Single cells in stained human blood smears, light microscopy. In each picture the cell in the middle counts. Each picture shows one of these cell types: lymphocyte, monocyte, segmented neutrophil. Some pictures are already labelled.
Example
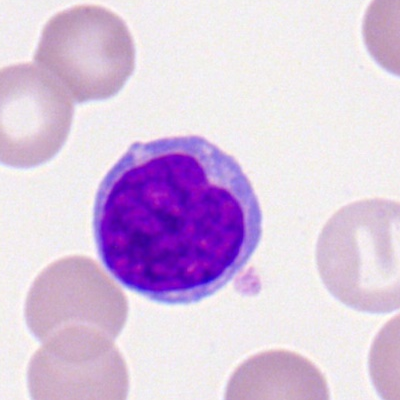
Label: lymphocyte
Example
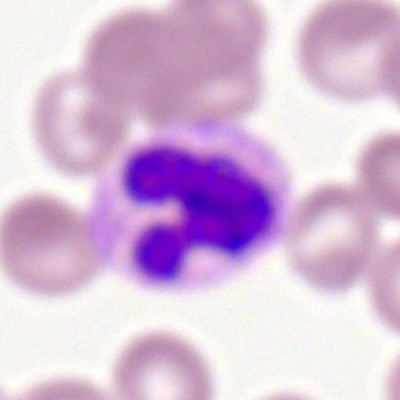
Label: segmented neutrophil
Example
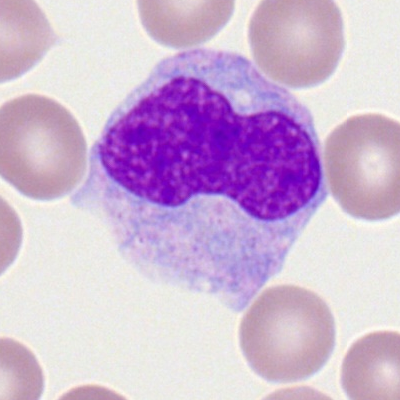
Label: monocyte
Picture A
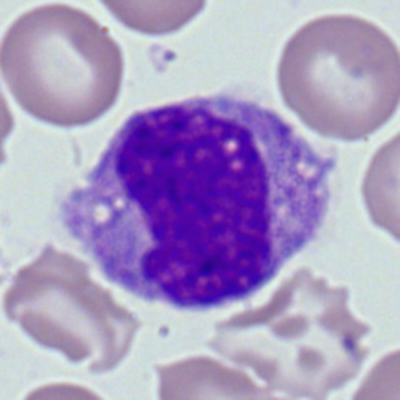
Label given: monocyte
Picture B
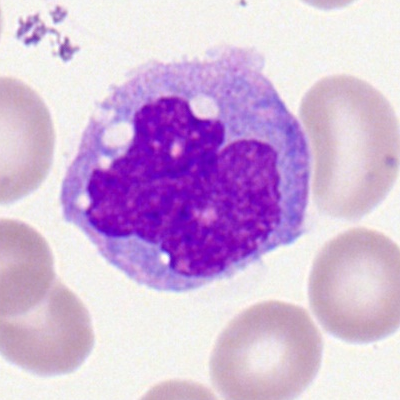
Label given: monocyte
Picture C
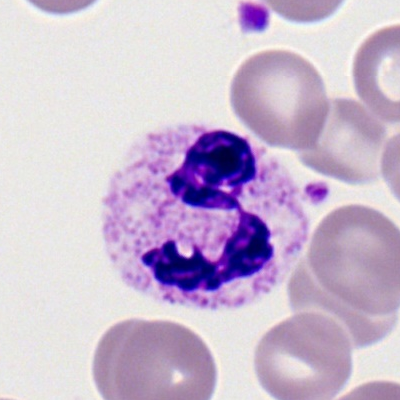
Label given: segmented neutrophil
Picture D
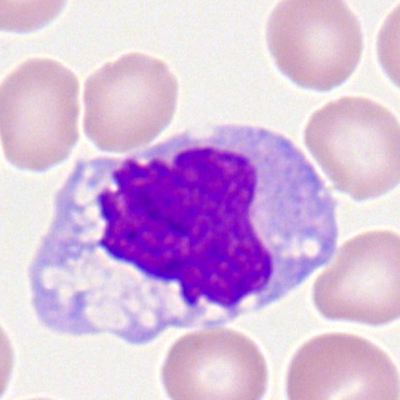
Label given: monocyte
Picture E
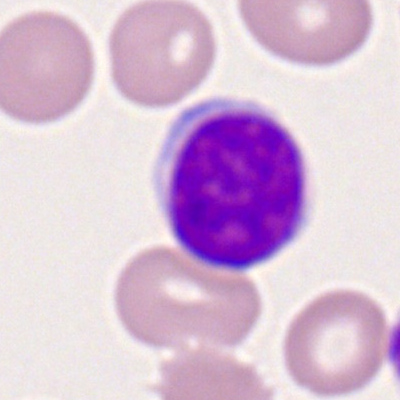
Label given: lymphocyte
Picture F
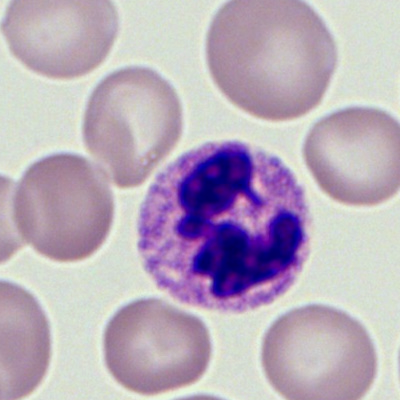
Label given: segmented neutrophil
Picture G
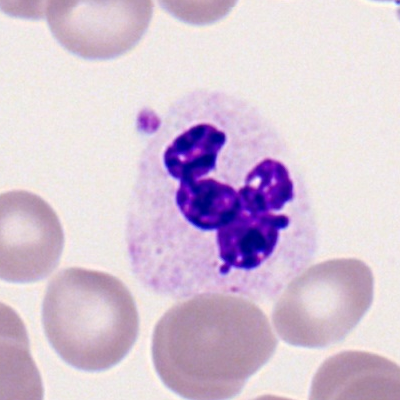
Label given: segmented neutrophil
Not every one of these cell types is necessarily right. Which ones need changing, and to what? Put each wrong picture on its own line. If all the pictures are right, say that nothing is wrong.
No label is wrong.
